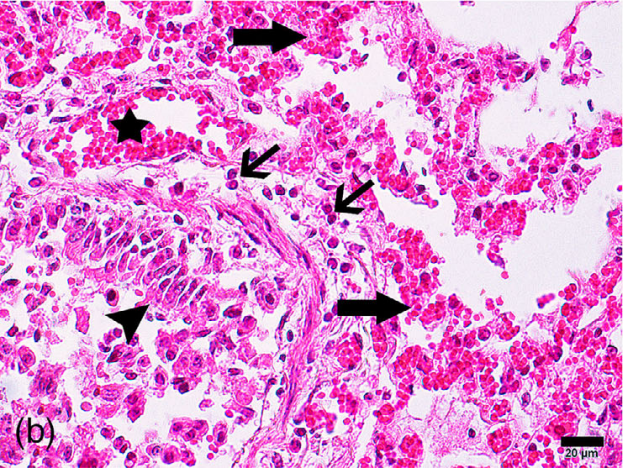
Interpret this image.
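This is lung tissue with a bronchiole at lower left and alveolar tissue around it, heavily filled with red blood cells. The bronchiole is lined by tall columnar epithelial cells with purple nuclei, and many rounded cells have come loose and lie free in its lumen. A band of pink fibrous and muscular tissue separates the airway from the surrounding lung. The alveolar walls and spaces are crowded with densely packed bright red blood cells, and a vessel at upper left is distended with them. Scattered small cells with dark purple nuclei lie among the red cells, and pale pink fluffy material fills parts of the interstitium.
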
